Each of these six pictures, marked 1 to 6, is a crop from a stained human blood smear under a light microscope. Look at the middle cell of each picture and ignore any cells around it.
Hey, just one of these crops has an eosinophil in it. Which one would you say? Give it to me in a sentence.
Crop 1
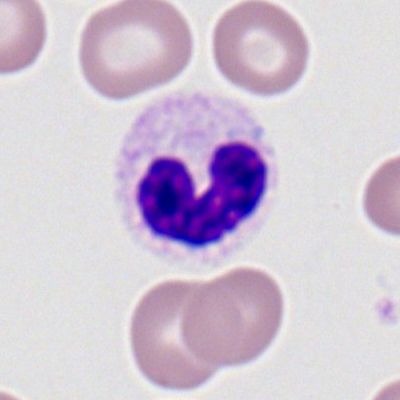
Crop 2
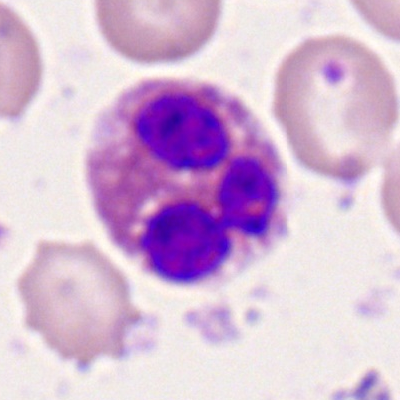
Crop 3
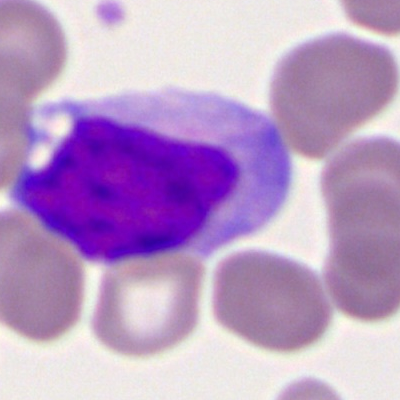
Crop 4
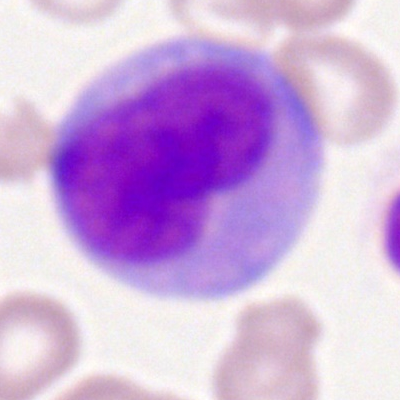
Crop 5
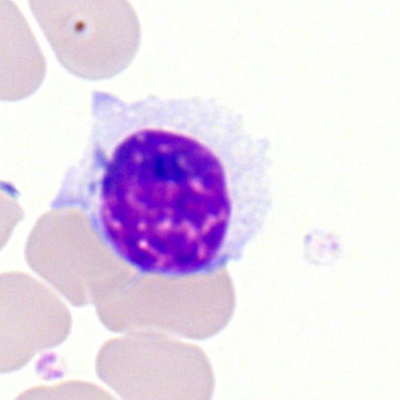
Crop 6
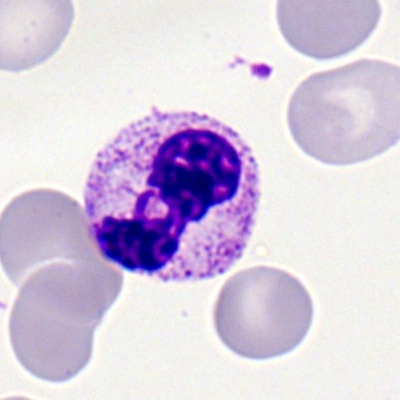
Of the labeled crops, the one with an eosinophil is crop 2.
